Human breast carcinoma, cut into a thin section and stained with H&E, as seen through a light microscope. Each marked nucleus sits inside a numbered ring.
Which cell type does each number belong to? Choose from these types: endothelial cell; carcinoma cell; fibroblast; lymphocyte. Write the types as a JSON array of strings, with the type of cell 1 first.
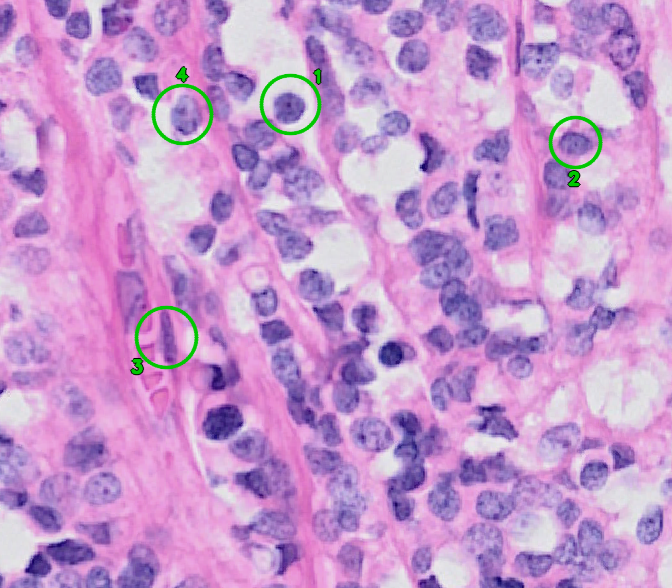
["carcinoma cell", "carcinoma cell", "endothelial cell", "carcinoma cell"]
